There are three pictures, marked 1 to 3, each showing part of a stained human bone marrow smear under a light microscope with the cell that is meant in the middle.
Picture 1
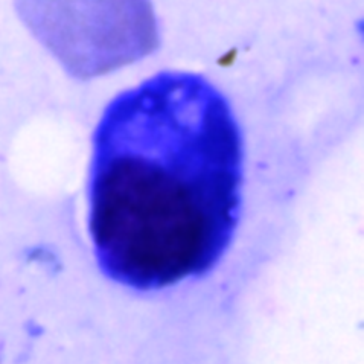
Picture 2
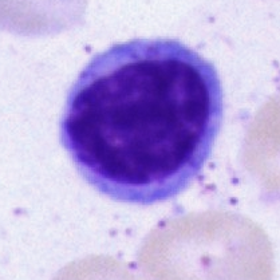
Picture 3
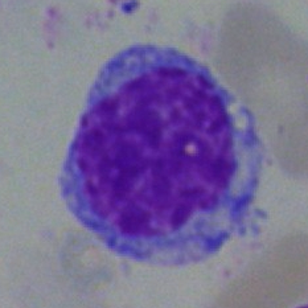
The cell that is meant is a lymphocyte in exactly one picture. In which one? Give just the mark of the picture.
2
